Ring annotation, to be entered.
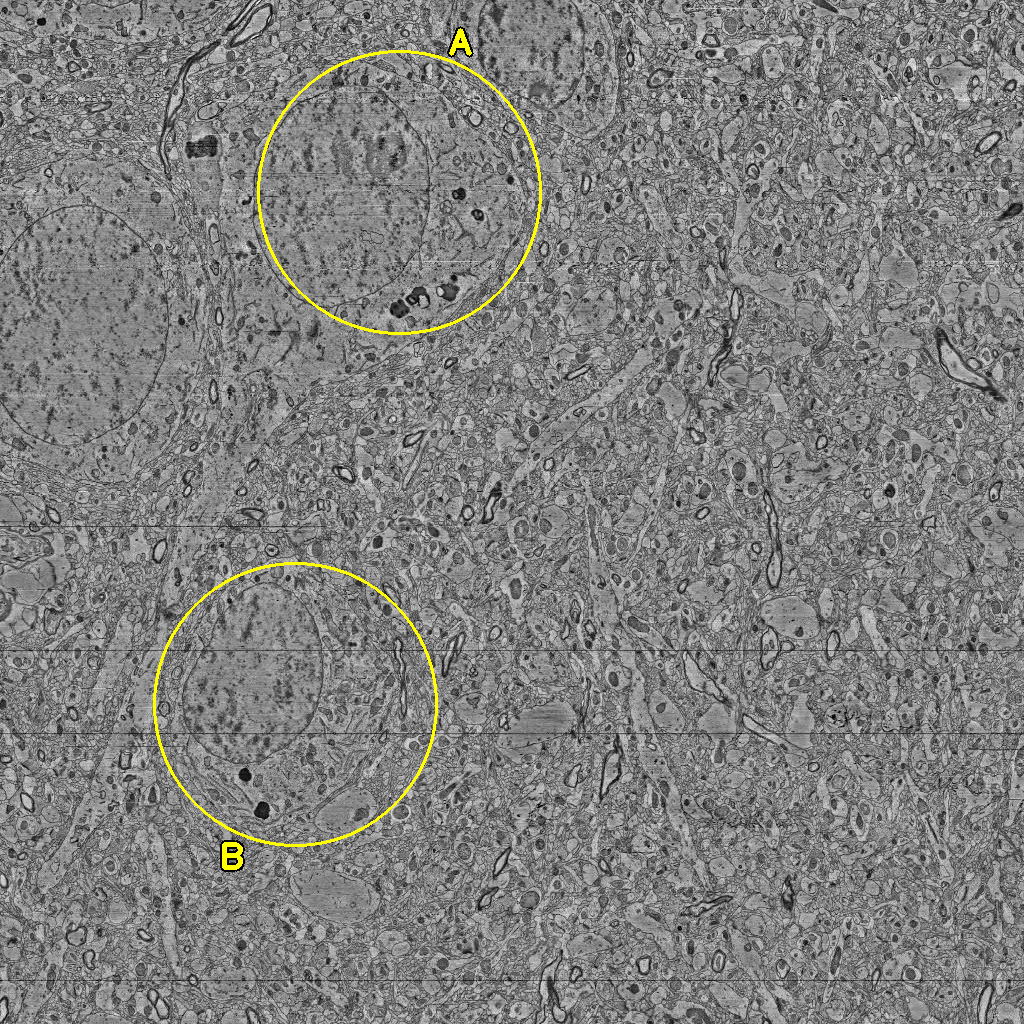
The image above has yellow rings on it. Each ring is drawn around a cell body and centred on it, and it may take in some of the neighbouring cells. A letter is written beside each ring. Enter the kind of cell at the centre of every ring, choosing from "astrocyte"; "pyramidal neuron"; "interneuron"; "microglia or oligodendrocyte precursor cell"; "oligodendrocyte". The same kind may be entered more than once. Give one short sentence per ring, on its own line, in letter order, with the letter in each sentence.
The ring marked A is centred on a pyramidal neuron.
The ring marked B is centred on an interneuron.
